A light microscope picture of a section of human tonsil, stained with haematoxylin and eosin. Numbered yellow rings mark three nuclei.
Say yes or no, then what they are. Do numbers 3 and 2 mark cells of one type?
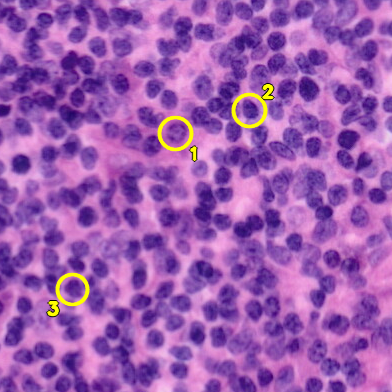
Yes, cells 3 and 2 are of one type, both being small lymphocytes.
